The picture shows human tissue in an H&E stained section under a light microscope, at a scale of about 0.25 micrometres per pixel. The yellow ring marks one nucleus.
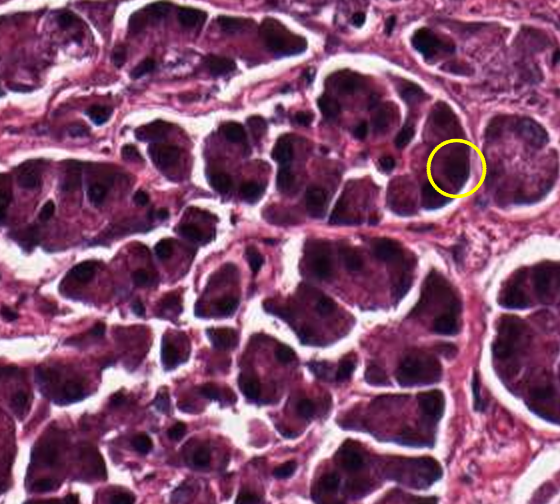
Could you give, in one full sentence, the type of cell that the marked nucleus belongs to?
The nucleus picked out by the mark is that of a pancreatic acinar cell.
